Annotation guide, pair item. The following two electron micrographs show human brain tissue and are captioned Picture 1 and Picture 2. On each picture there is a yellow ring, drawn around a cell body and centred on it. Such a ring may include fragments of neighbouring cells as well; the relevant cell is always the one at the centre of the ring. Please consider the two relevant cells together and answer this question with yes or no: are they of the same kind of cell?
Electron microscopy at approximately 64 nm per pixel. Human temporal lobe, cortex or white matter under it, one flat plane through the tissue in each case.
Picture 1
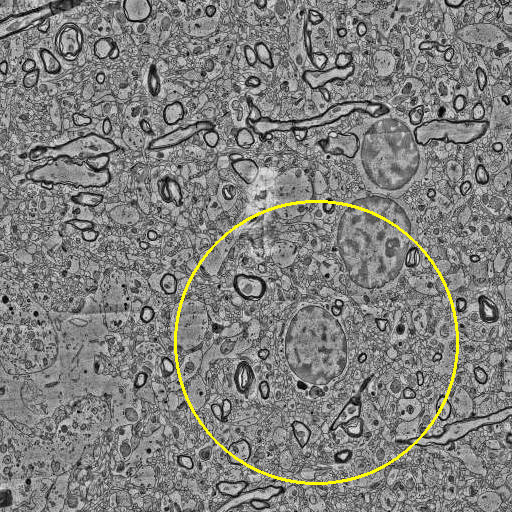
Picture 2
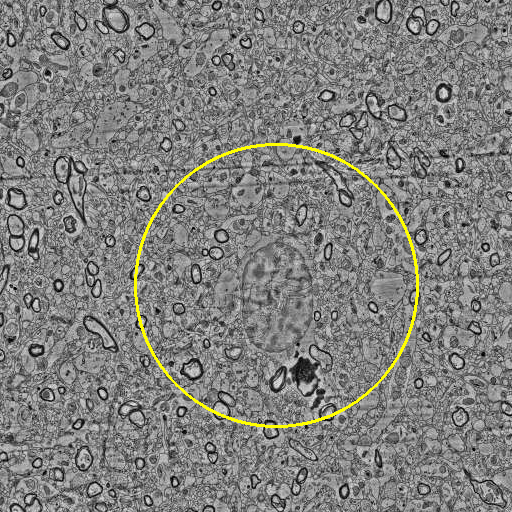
no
